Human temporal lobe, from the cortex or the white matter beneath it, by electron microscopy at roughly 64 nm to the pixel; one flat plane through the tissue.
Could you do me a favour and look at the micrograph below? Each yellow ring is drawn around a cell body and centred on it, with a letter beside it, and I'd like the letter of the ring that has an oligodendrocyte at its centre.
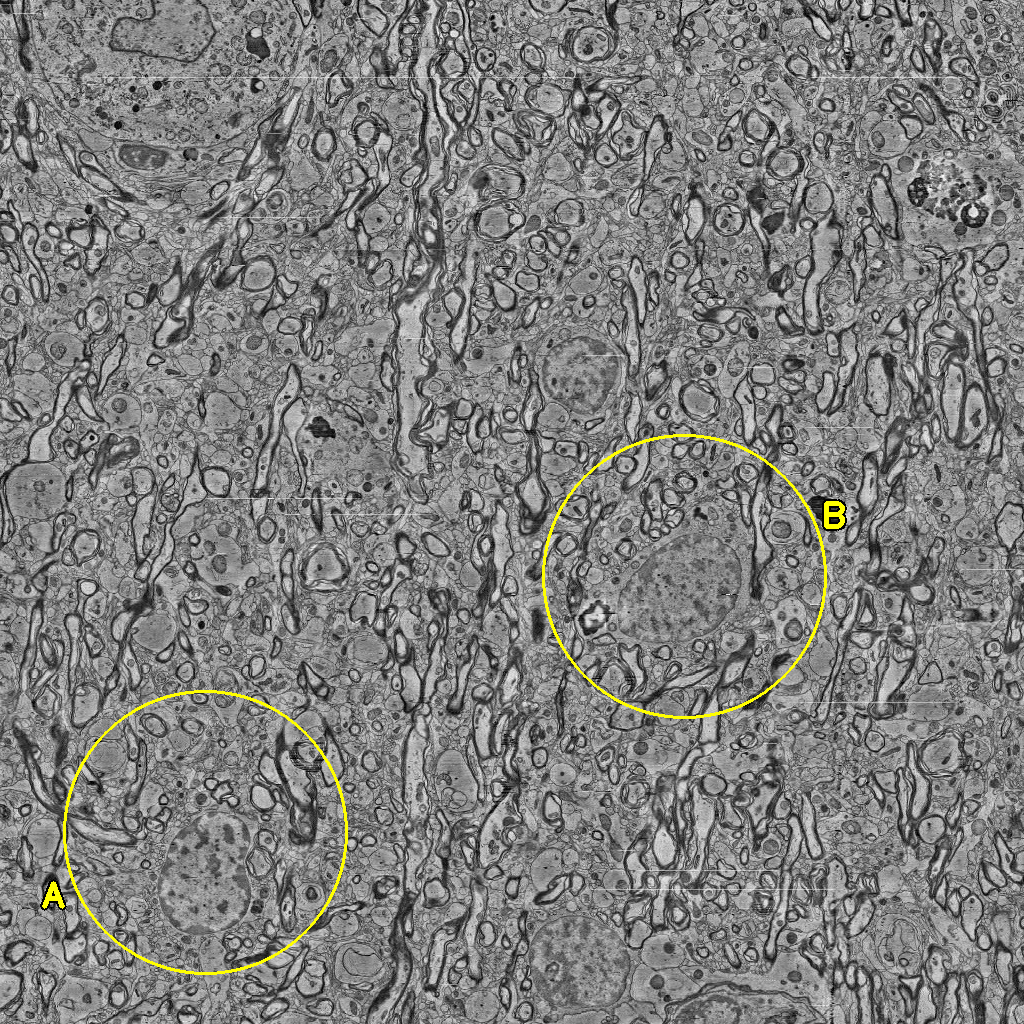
B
